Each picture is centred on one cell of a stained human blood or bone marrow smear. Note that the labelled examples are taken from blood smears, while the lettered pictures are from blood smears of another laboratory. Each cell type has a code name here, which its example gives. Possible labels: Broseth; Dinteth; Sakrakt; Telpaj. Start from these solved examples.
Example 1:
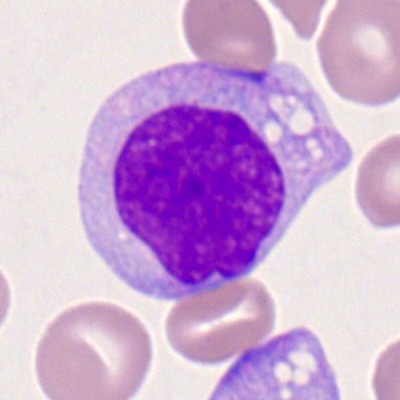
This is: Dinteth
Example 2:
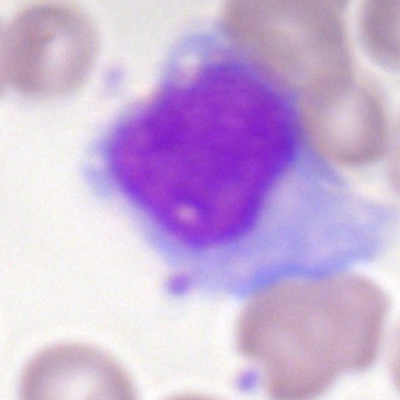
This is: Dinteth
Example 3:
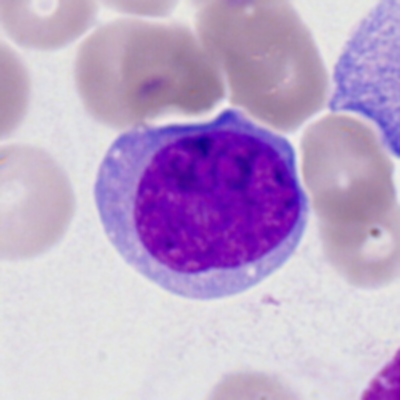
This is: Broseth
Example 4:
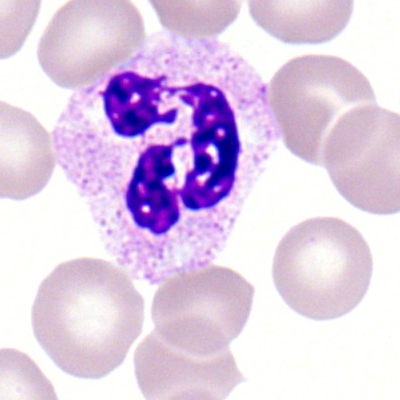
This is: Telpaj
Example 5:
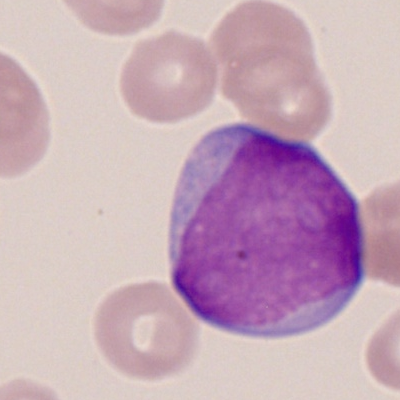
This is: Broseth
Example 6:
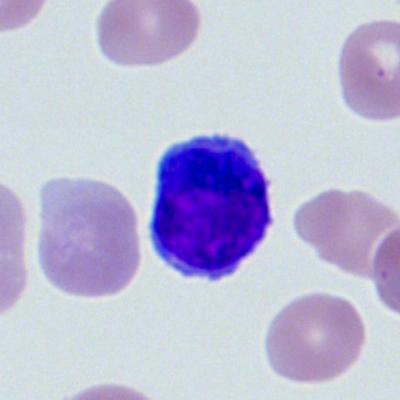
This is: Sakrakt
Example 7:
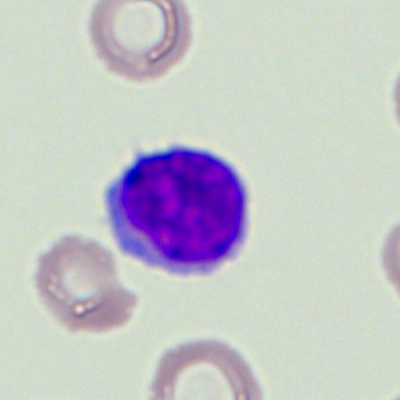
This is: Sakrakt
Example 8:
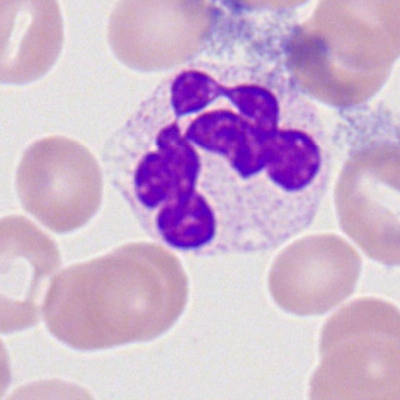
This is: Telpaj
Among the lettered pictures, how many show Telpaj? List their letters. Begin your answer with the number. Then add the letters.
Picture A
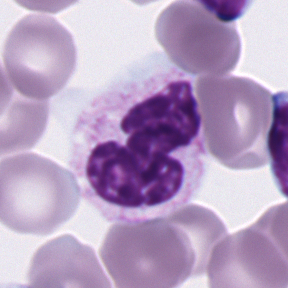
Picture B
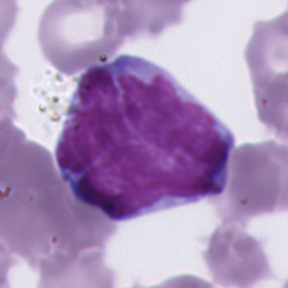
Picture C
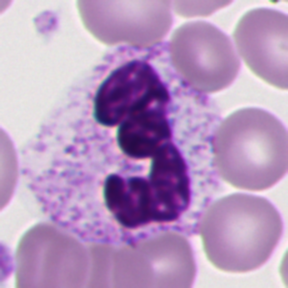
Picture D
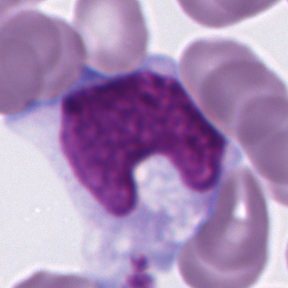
2, namely A, C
